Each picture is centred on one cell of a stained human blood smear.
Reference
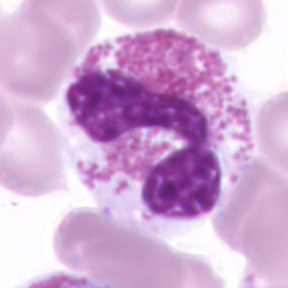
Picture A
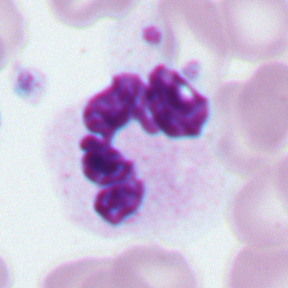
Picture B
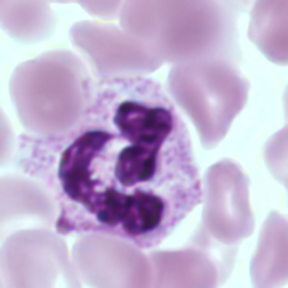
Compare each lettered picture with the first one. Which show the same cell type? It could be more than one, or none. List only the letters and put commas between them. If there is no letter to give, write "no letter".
no letter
